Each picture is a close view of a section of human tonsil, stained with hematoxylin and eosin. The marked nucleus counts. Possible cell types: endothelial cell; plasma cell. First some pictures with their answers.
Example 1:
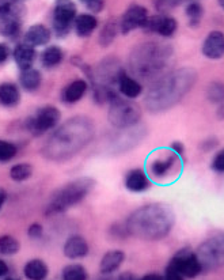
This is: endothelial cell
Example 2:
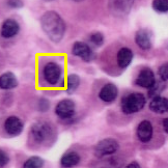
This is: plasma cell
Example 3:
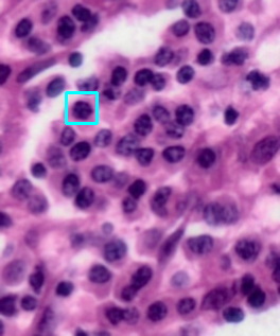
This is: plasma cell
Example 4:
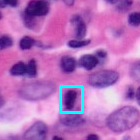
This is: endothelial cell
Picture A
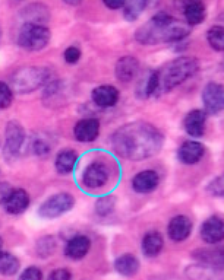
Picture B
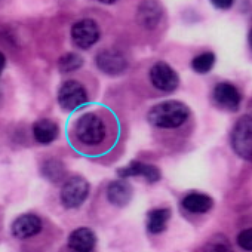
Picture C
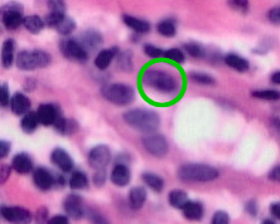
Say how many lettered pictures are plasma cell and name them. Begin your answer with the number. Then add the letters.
2, namely A, B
